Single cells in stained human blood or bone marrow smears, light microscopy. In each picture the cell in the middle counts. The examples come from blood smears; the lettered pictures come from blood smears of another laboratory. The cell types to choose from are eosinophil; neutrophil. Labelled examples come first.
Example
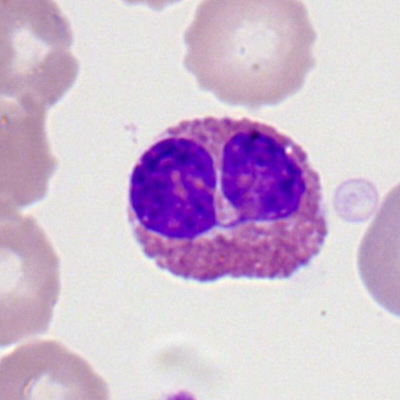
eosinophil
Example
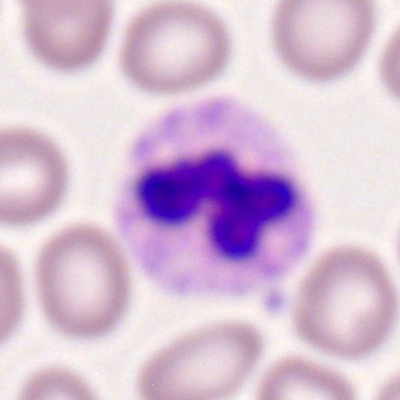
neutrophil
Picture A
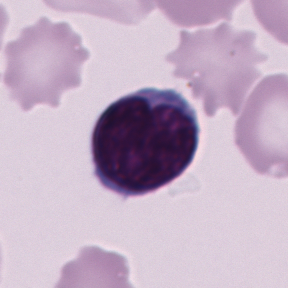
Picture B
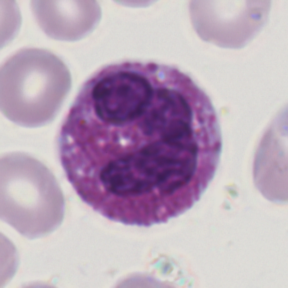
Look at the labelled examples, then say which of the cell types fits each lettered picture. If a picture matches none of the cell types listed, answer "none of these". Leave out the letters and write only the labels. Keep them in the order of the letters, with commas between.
none of these, eosinophil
